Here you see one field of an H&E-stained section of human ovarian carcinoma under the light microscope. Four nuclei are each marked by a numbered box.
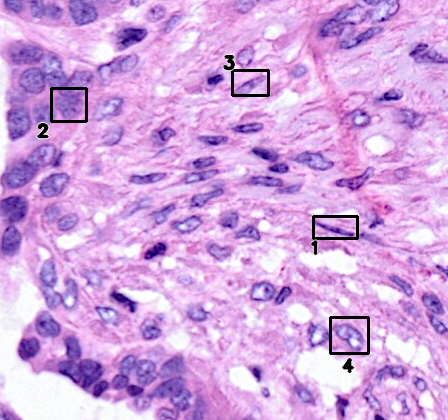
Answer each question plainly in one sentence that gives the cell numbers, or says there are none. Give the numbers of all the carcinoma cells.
Only one marked cell, number 2, is a carcinoma cell.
